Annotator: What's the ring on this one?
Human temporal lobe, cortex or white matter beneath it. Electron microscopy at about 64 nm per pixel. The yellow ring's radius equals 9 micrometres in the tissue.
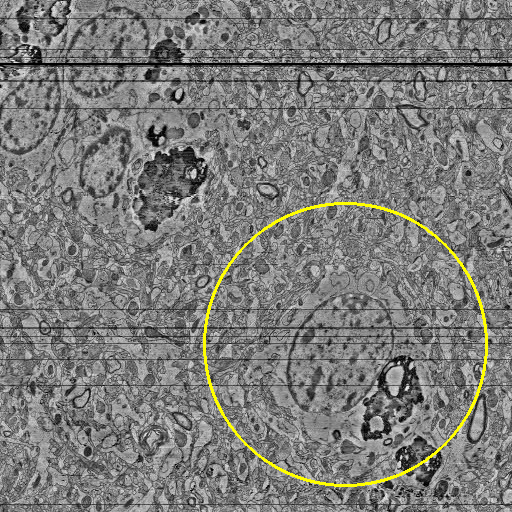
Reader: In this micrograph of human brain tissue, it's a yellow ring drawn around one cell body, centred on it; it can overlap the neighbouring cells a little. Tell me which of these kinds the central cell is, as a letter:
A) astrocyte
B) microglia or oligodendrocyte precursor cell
A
